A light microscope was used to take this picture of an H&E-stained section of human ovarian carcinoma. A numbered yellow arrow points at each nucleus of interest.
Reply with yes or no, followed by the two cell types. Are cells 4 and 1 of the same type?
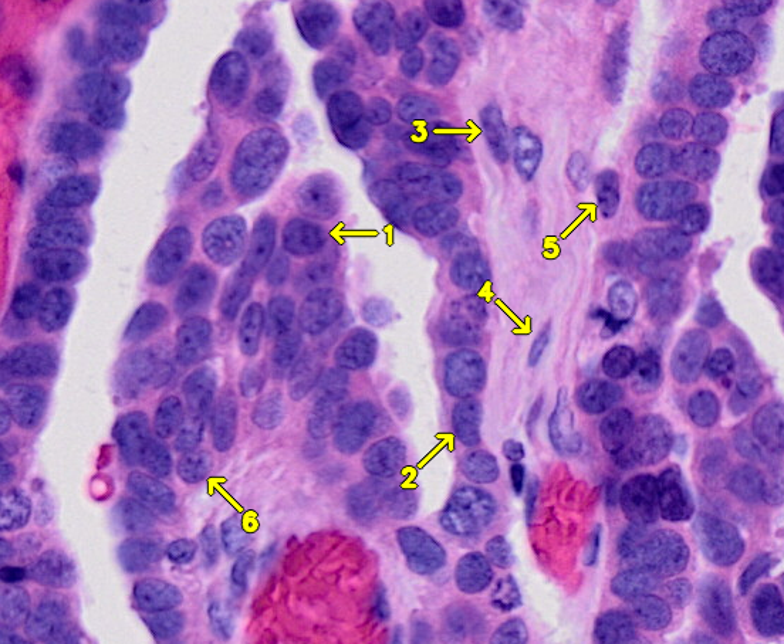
No, hold on, cell 4 is a fibroblast and cell 1 is a carcinoma cell.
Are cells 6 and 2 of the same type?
Yes, note that cells 6 and 2 are both carcinoma cells.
